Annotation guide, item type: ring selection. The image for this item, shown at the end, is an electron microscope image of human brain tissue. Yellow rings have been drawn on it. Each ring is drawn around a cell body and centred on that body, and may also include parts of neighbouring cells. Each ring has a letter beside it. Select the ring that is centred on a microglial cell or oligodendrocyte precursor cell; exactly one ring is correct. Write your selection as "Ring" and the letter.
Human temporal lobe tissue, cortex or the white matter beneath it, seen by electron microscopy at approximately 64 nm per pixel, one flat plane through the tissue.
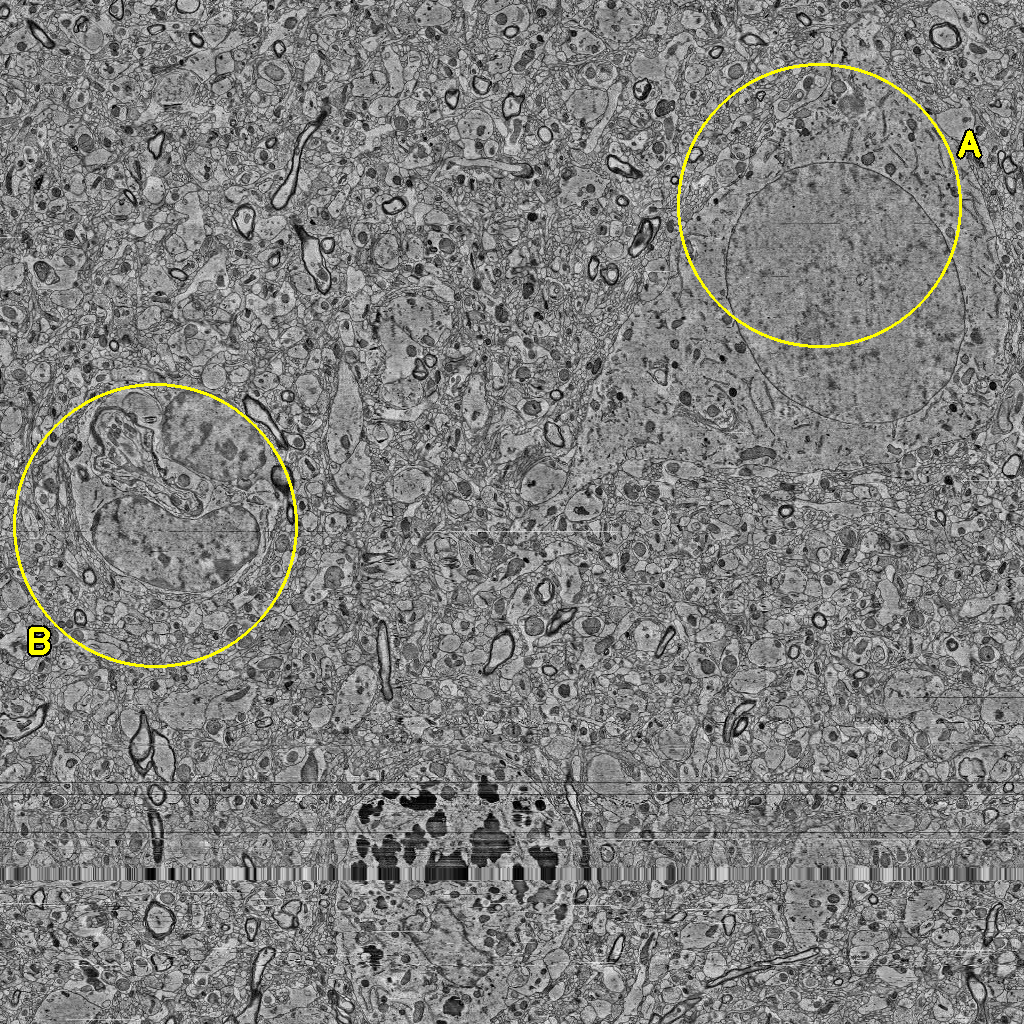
Ring B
